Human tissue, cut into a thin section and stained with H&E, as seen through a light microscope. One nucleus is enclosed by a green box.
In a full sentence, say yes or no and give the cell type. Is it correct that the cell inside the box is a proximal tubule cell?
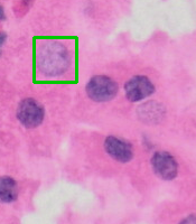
Yes, the cell inside the box is properly regarded as a proximal tubule cell.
